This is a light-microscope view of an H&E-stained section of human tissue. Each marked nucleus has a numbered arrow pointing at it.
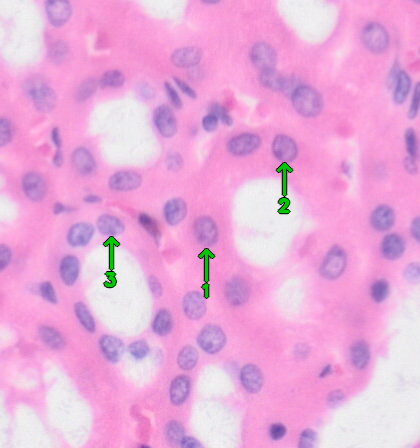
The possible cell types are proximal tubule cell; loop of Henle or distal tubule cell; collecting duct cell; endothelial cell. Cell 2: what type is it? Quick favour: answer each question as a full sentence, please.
The marked nucleus 2 is that of a proximal tubule cell.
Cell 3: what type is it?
What the number 3 marks in this field is a collecting duct cell.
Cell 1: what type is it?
The cell referenced by the number 1 is a proximal tubule cell in this field.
